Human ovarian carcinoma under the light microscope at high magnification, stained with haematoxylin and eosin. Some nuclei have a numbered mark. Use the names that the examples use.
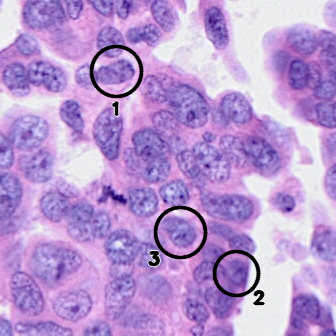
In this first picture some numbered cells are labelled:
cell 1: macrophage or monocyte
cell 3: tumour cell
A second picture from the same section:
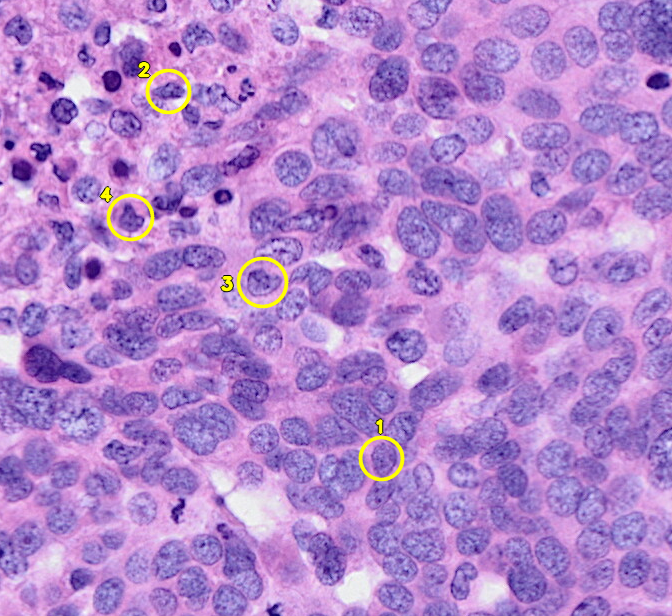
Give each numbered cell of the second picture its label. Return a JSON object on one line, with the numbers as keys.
{"1": "tumour cell", "2": "macrophage or monocyte", "3": "macrophage or monocyte", "4": "macrophage or monocyte"}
